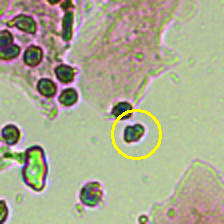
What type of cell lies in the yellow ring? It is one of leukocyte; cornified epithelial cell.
The ringed cell is a leukocyte.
